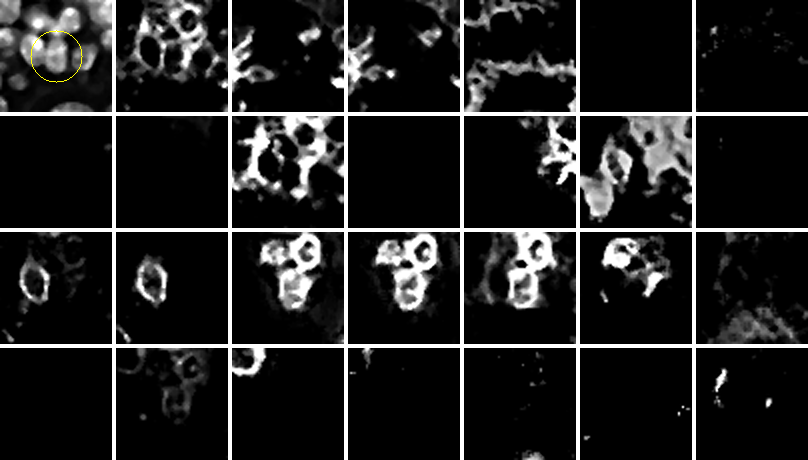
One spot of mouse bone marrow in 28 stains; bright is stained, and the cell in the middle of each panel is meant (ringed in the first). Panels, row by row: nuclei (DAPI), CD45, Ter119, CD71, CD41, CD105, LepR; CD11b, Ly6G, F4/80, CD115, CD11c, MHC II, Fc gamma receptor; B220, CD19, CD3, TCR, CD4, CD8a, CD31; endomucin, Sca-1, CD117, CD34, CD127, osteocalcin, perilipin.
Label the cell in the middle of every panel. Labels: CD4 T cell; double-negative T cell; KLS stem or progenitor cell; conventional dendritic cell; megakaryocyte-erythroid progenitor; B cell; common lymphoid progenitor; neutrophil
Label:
CD4 T cell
